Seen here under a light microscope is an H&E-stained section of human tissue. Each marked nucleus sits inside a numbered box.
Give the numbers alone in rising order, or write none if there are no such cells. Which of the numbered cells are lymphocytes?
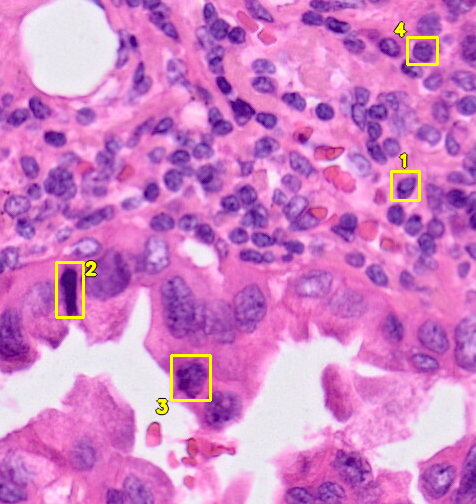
1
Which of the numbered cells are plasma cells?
4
